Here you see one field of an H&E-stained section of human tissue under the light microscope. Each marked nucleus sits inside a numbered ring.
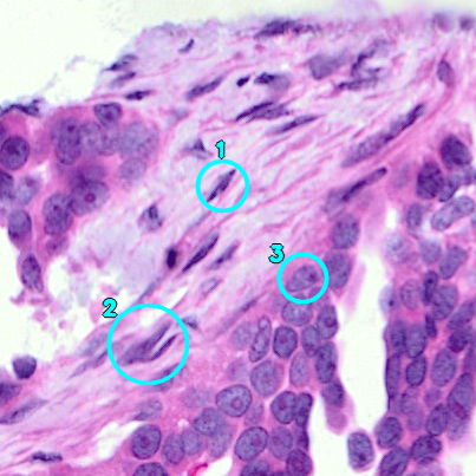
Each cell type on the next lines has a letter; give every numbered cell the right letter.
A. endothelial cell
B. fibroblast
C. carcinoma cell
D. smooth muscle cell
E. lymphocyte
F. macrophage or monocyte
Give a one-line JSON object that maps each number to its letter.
{"1": "B", "2": "B", "3": "C"}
